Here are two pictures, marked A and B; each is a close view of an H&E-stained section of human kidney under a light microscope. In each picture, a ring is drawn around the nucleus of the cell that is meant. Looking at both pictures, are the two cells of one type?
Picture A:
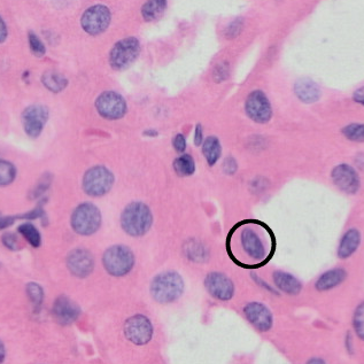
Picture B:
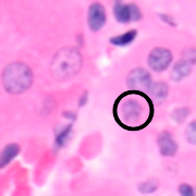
no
